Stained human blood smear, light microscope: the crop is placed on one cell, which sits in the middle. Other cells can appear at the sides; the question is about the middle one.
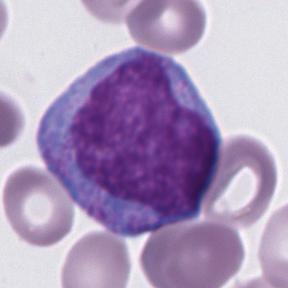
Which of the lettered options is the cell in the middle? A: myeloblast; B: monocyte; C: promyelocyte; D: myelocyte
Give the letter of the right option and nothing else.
C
